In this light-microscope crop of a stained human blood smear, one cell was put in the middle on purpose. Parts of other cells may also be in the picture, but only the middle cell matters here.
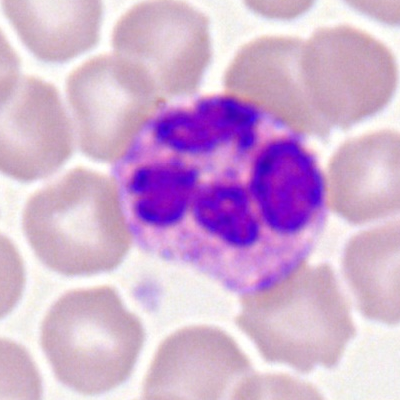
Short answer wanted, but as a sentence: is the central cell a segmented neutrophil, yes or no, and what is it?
No, the cell at the centre of the crop is a basophil and not a segmented neutrophil.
